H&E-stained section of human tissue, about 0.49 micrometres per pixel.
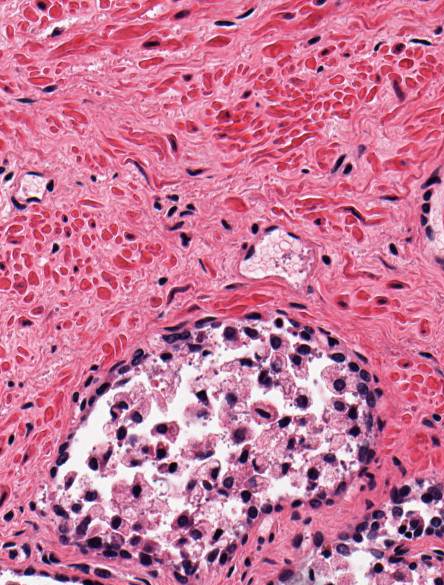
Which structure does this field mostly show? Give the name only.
fibromuscular stroma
